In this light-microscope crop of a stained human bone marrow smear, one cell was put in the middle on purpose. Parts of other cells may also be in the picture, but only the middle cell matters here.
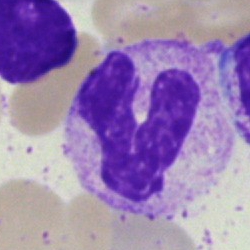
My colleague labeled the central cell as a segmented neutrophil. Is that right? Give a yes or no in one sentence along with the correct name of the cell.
No, the central cell is properly termed a band neutrophil, not a segmented neutrophil.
